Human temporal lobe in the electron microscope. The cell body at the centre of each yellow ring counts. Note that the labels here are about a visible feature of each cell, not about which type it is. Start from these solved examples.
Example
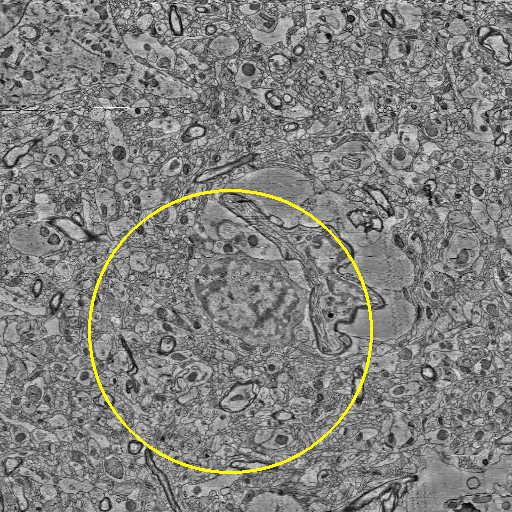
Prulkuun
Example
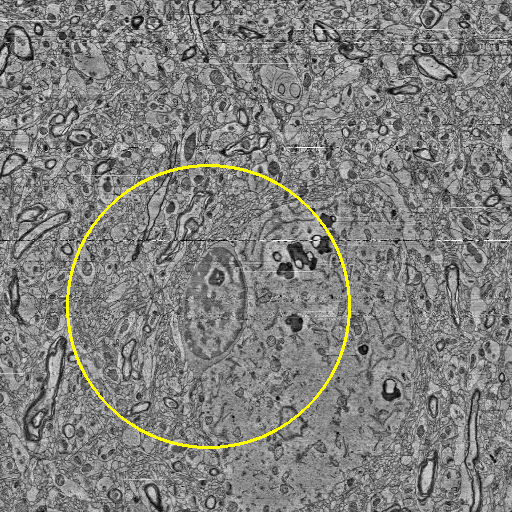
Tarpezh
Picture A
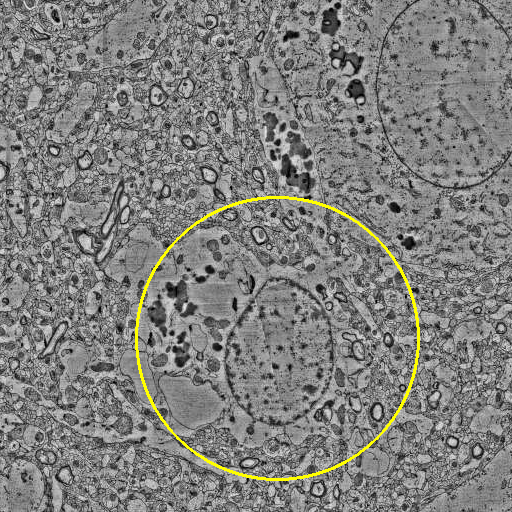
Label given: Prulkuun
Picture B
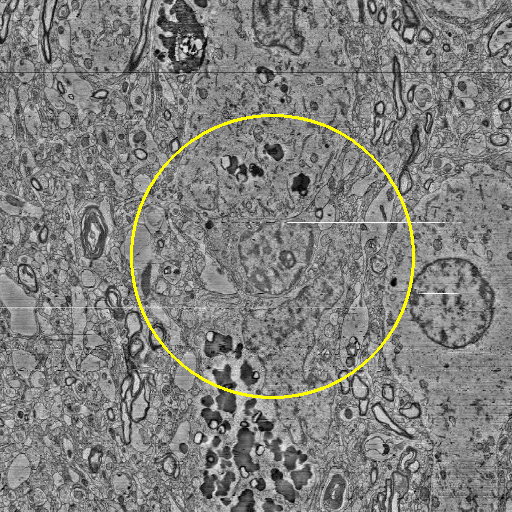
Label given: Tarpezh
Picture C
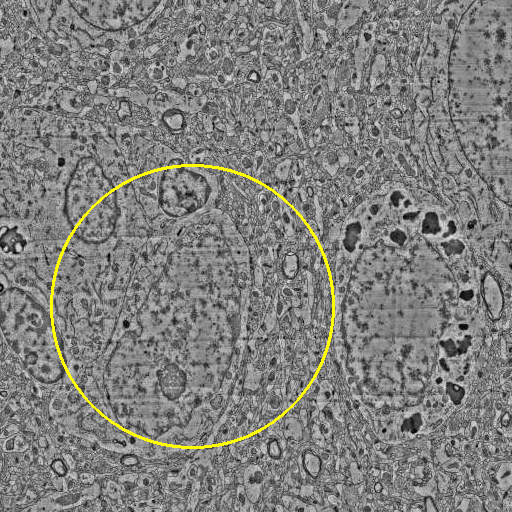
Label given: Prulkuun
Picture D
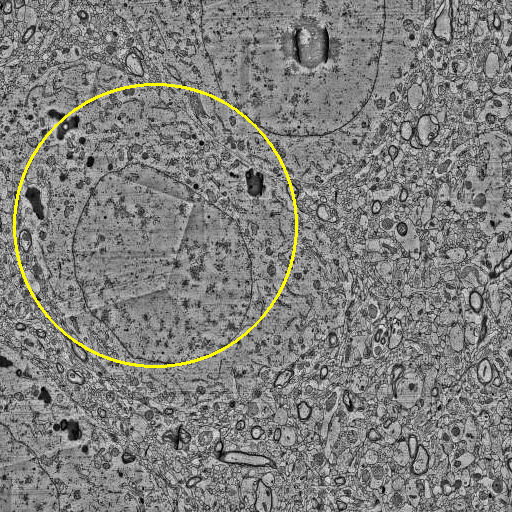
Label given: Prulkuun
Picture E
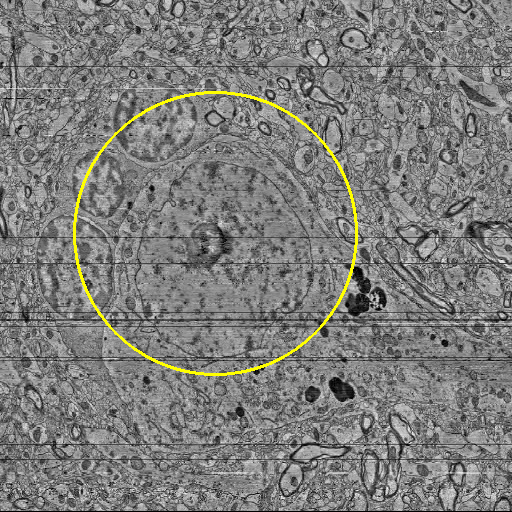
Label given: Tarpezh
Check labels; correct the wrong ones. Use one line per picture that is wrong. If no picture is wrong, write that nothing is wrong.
C: change Prulkuun to Tarpezh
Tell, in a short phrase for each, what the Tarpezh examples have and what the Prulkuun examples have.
Tarpezh, nucleolus seen; Prulkuun, no nucleolus seen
